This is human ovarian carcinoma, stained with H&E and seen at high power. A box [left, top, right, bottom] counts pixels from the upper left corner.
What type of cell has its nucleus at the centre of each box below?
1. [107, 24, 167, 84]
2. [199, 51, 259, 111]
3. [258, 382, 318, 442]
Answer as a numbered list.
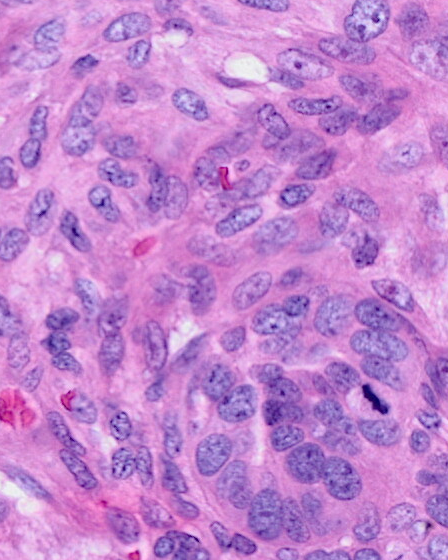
1. fibroblast
2. fibroblast
3. carcinoma cell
